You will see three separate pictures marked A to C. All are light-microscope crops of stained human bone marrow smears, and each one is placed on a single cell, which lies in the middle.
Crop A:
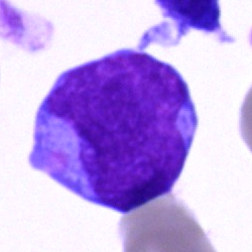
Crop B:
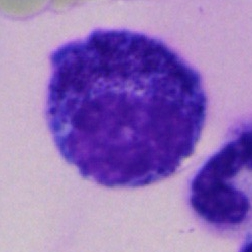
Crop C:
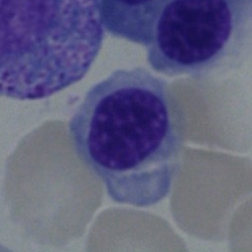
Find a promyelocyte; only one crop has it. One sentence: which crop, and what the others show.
Crop B is where a promyelocyte is shown, whereas crop A is a blast and crop C is an erythroblast.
